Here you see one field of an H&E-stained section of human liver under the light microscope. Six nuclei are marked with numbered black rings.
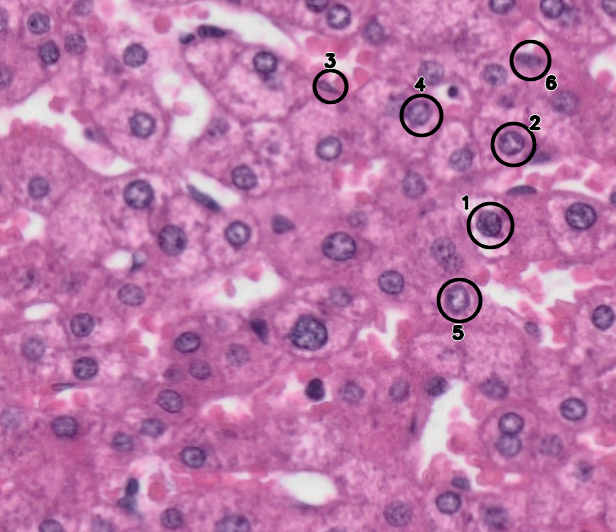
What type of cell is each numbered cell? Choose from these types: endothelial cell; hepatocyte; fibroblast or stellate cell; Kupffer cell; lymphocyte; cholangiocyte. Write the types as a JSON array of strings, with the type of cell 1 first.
["hepatocyte", "hepatocyte", "endothelial cell", "hepatocyte", "hepatocyte", "endothelial cell"]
